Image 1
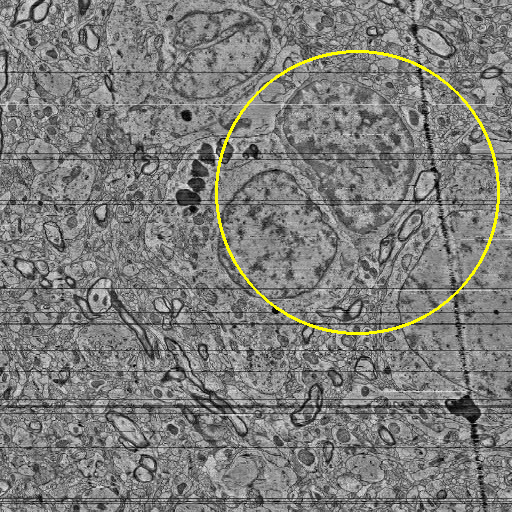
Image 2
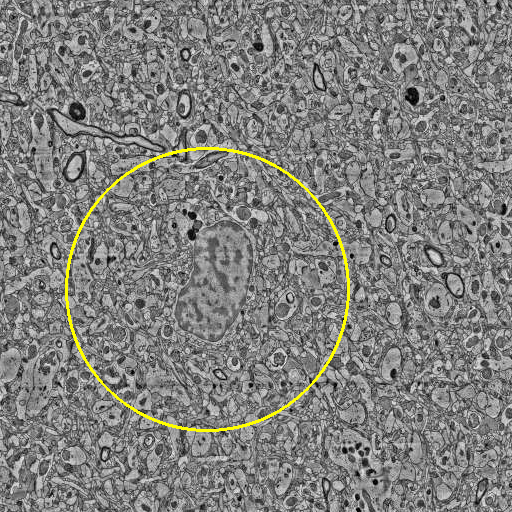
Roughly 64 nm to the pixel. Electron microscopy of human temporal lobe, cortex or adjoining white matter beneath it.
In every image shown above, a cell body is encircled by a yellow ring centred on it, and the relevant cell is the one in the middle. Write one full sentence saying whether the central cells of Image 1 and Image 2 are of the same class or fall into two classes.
The cell at the ring's centre in Image 1 and its counterpart in Image 2 fall into two classes.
